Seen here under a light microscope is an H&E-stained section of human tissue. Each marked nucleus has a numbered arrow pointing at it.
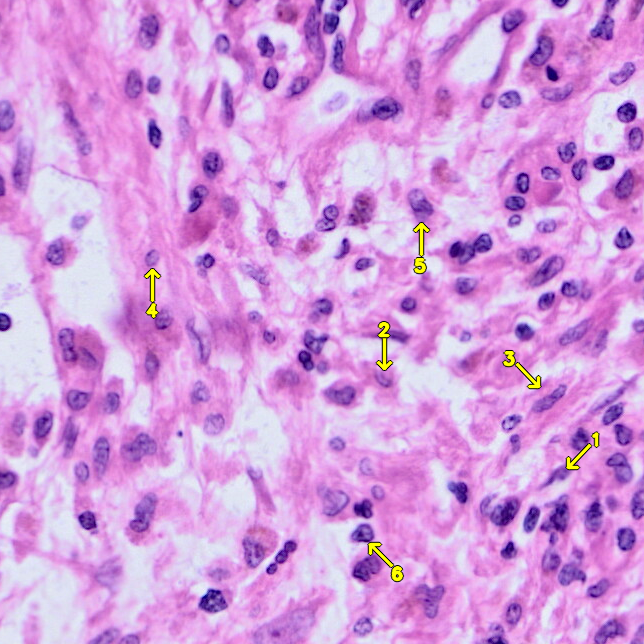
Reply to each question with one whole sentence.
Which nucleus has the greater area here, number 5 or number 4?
It is nucleus 5, which covers about 3 times the area of nucleus 4.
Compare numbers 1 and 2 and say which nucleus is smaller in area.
Nucleus 2 is the smaller one; nucleus 1 covers about 1.5 times its area.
